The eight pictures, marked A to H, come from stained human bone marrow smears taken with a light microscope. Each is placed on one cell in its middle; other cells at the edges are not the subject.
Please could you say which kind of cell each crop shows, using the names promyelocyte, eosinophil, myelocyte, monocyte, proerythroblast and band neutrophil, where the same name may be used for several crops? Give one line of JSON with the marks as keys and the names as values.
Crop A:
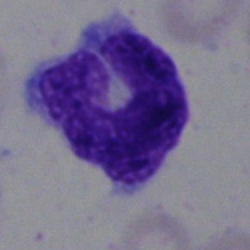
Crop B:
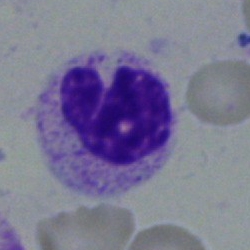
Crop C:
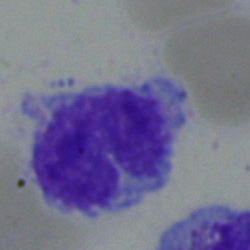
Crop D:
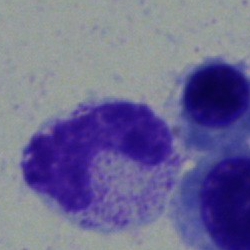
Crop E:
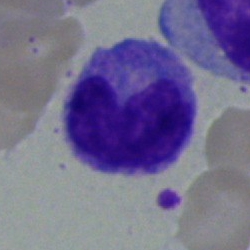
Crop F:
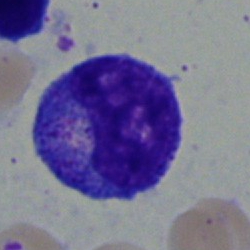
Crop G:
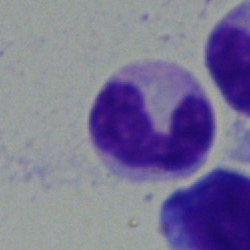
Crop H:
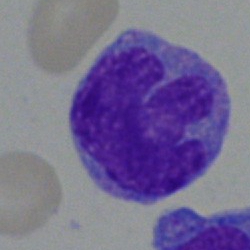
{"A": "monocyte", "B": "band neutrophil", "C": "monocyte", "D": "band neutrophil", "E": "monocyte", "F": "myelocyte", "G": "band neutrophil", "H": "monocyte"}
